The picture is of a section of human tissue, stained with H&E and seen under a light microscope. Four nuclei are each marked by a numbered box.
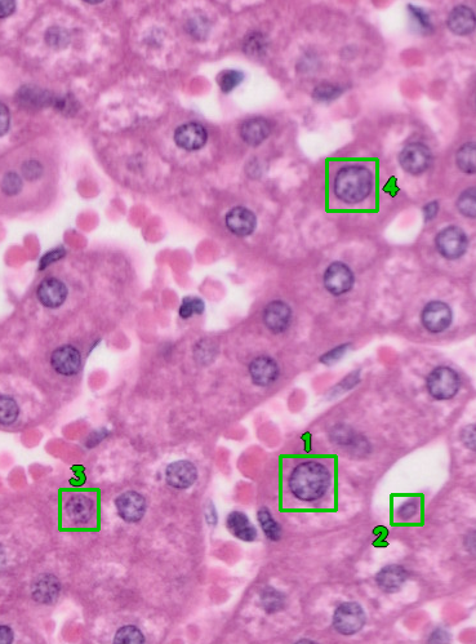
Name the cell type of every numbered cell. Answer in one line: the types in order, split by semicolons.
hepatocyte; Kupffer cell; hepatocyte; hepatocyte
